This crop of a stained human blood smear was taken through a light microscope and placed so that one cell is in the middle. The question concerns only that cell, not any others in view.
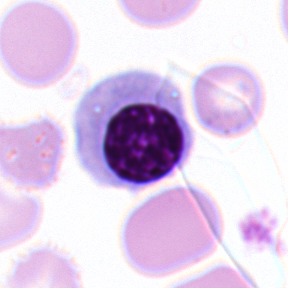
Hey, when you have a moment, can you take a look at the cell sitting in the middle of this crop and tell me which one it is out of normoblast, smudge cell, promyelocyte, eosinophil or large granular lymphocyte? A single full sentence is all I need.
In the central position of this crop, the cell is a normoblast.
